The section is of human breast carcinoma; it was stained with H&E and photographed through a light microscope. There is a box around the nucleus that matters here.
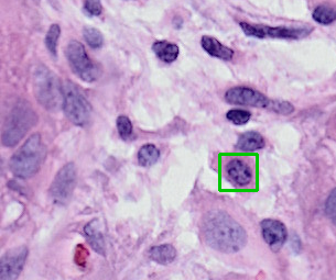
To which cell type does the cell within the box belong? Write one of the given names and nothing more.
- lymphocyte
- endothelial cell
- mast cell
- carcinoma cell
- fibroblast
mast cell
